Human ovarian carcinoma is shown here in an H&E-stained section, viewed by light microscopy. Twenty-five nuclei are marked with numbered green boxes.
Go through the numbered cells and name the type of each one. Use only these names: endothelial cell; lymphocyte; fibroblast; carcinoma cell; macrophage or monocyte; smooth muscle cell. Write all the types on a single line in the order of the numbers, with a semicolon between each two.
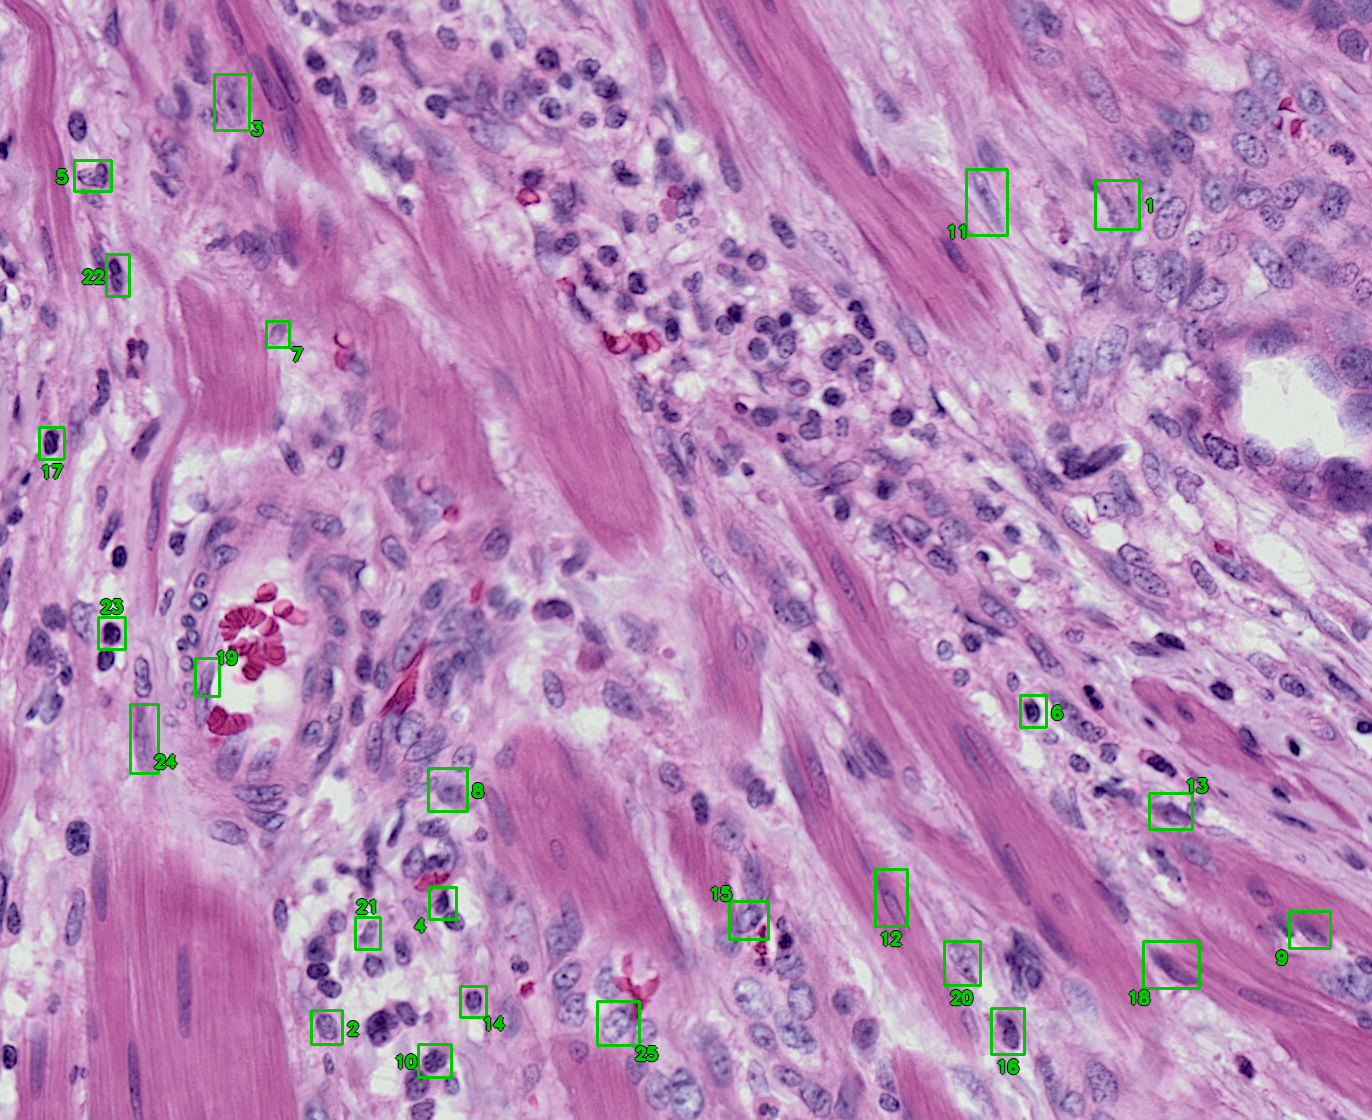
fibroblast; macrophage or monocyte; fibroblast; lymphocyte; macrophage or monocyte; lymphocyte; smooth muscle cell; fibroblast; smooth muscle cell; lymphocyte; fibroblast; smooth muscle cell; fibroblast; lymphocyte; endothelial cell; macrophage or monocyte; lymphocyte; smooth muscle cell; endothelial cell; fibroblast; macrophage or monocyte; macrophage or monocyte; lymphocyte; fibroblast; endothelial cell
